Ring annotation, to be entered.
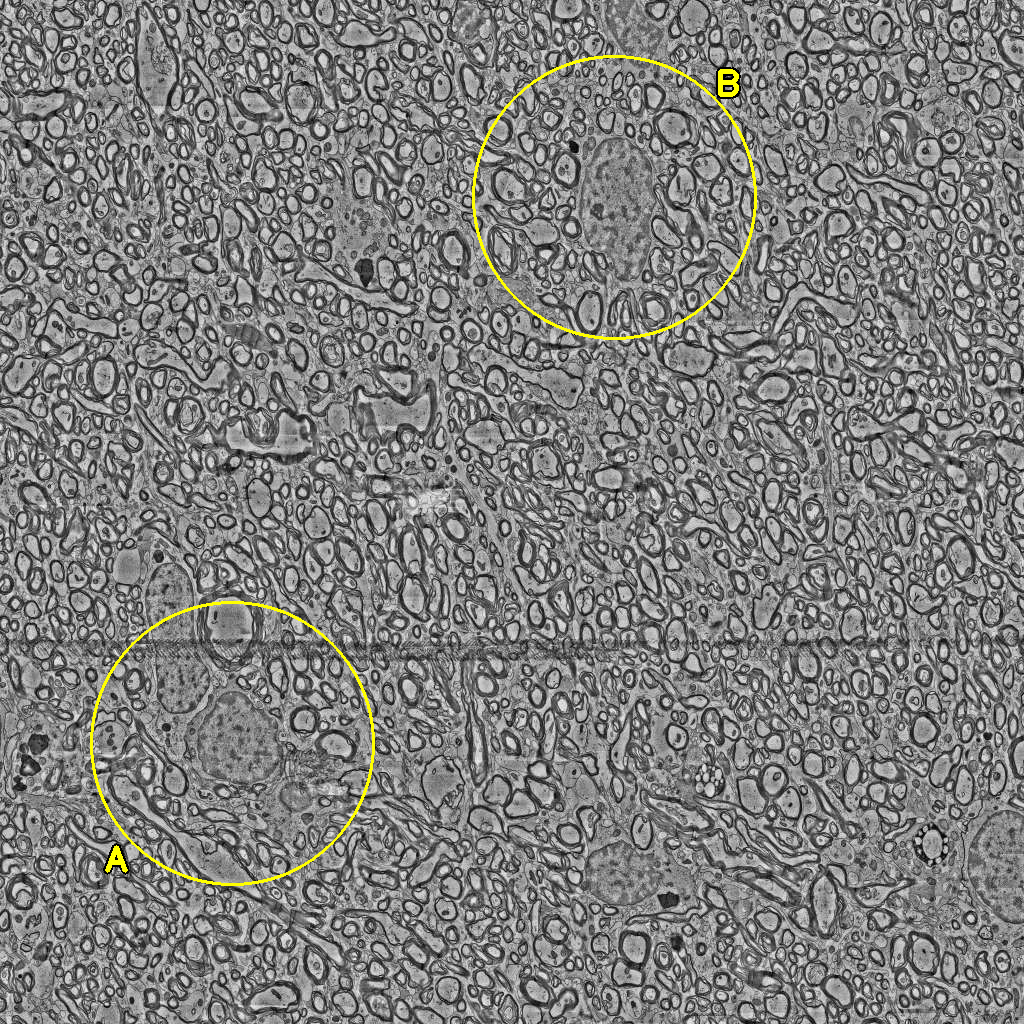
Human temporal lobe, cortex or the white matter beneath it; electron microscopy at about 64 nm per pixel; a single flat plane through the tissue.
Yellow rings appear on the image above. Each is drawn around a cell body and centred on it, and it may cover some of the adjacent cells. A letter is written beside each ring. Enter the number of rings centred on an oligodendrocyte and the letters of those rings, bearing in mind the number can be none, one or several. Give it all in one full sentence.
Those two rings lettered A and B are centred, each of them, on an oligodendrocyte.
